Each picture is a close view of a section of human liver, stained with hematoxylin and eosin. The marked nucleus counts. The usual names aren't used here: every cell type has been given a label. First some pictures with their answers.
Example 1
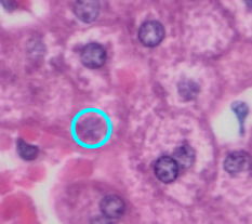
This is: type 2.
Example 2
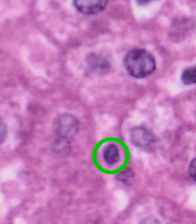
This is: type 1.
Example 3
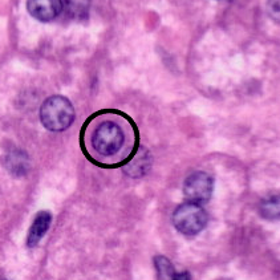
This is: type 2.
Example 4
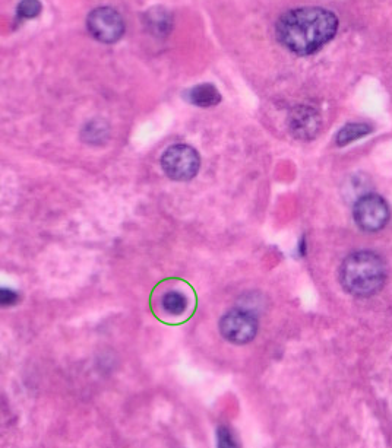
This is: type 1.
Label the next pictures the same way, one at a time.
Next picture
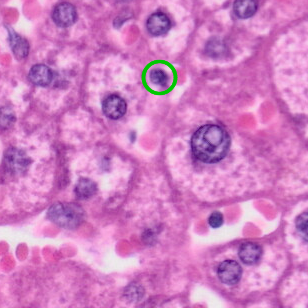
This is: type 1.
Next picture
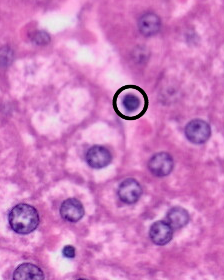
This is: type 1.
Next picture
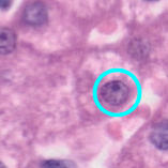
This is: type 2.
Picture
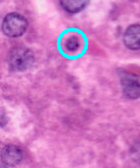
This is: type 1.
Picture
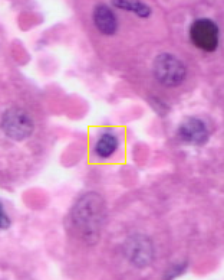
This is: type 1.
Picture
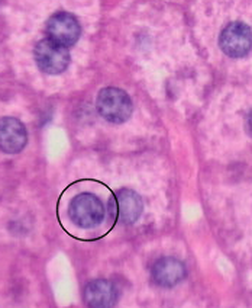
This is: type 2.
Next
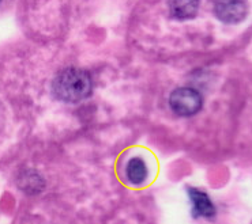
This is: type 1.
